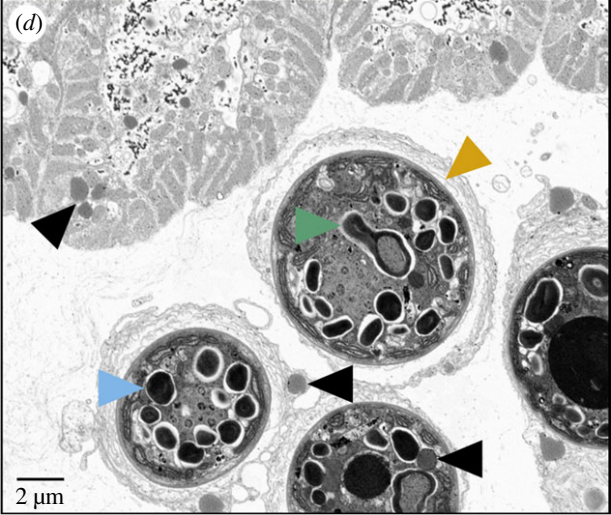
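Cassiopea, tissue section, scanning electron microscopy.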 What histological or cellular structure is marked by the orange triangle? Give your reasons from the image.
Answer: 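The triangle points at the membrane-bound space around a round inner cell. The round cell sits inside another, looser cell. The answer: symbiosomes.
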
